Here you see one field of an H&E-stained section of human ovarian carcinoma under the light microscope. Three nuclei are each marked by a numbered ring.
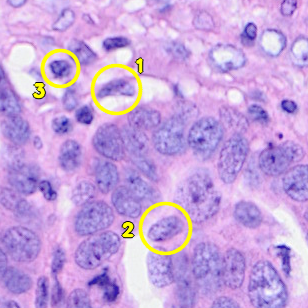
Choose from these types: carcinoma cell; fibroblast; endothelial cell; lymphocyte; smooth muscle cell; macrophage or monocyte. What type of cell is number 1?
macrophage or monocyte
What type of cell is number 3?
lymphocyte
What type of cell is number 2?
macrophage or monocyte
